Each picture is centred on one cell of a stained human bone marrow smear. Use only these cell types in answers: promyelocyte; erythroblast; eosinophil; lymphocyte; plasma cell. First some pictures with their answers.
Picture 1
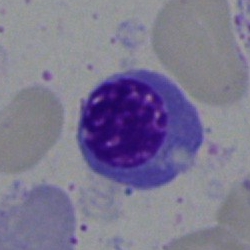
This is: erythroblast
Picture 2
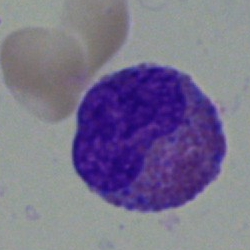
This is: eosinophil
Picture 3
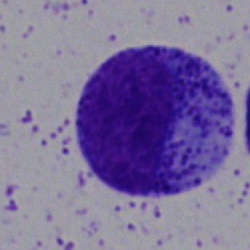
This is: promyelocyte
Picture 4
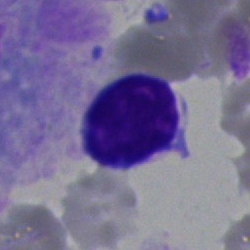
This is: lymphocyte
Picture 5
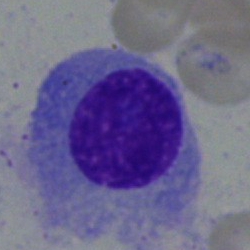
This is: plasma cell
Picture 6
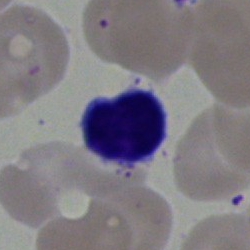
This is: lymphocyte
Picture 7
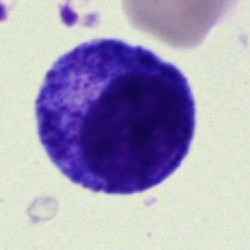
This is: promyelocyte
